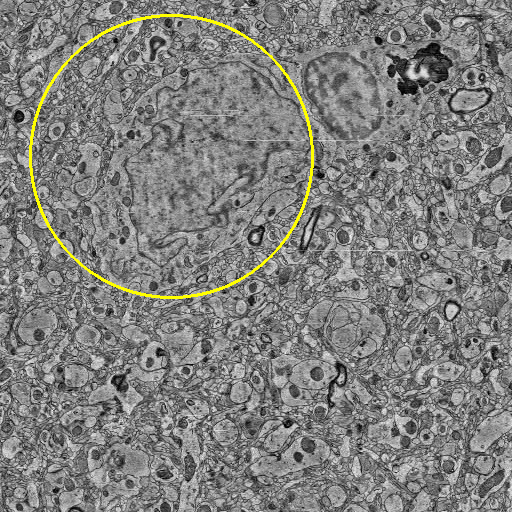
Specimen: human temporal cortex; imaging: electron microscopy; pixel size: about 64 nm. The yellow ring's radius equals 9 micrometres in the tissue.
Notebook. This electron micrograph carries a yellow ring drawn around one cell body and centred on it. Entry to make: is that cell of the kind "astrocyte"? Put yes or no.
no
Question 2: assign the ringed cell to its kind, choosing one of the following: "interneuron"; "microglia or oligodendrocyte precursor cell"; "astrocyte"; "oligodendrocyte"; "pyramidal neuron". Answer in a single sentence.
That cell in the ring is an interneuron instead.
